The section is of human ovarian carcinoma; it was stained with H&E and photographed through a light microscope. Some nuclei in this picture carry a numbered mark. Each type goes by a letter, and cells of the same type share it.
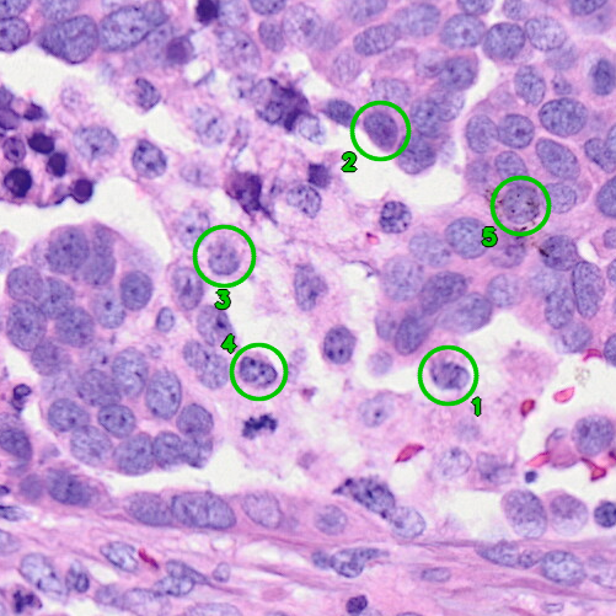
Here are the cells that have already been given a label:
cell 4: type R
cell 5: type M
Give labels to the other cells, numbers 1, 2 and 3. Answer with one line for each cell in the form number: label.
1: type R
2: type M
3: type R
